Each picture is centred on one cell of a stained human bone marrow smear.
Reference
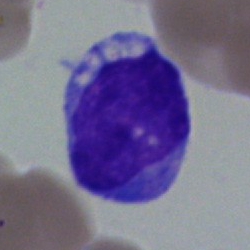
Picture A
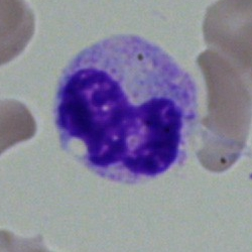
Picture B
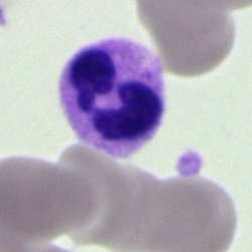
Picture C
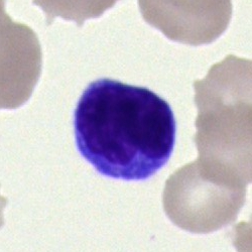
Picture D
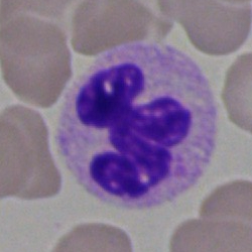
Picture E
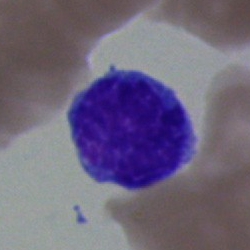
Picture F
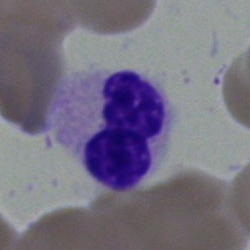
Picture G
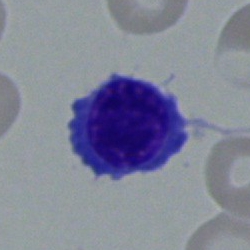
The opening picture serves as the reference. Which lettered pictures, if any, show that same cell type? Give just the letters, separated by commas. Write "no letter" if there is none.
E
